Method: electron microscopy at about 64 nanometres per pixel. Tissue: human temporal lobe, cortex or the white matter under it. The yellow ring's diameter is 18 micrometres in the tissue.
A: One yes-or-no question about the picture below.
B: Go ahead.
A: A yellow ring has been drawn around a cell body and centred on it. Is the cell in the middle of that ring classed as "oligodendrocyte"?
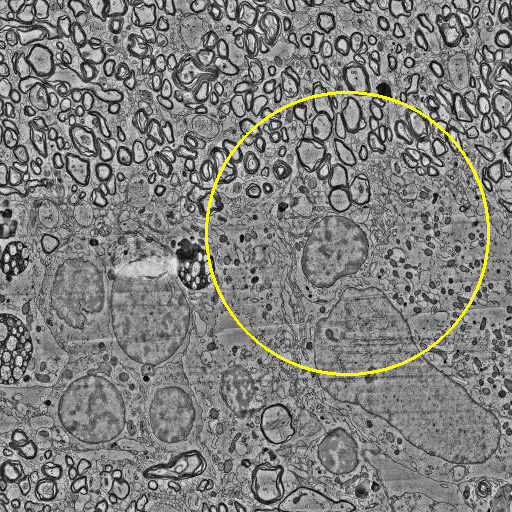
No, it is classed as another kind.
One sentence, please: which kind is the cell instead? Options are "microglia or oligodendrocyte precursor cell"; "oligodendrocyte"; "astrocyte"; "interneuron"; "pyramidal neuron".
Instead, the cell at the centre of the yellow ring is a microglial cell or oligodendrocyte precursor cell.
